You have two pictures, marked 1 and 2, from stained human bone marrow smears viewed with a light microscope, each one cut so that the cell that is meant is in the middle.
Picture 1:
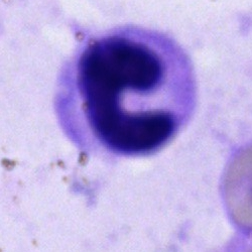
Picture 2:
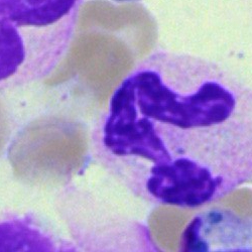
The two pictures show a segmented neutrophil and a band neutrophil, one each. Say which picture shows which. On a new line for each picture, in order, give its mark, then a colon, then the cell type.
1: band neutrophil
2: segmented neutrophil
